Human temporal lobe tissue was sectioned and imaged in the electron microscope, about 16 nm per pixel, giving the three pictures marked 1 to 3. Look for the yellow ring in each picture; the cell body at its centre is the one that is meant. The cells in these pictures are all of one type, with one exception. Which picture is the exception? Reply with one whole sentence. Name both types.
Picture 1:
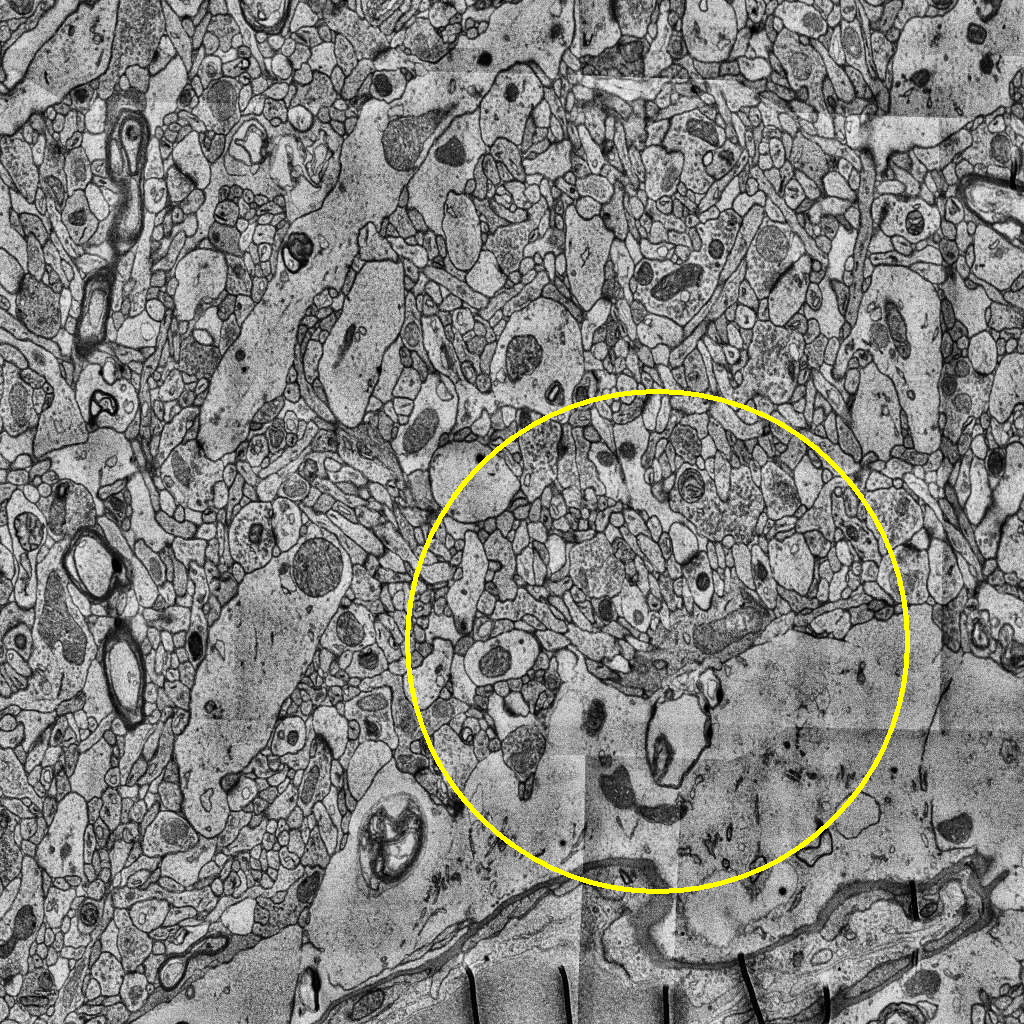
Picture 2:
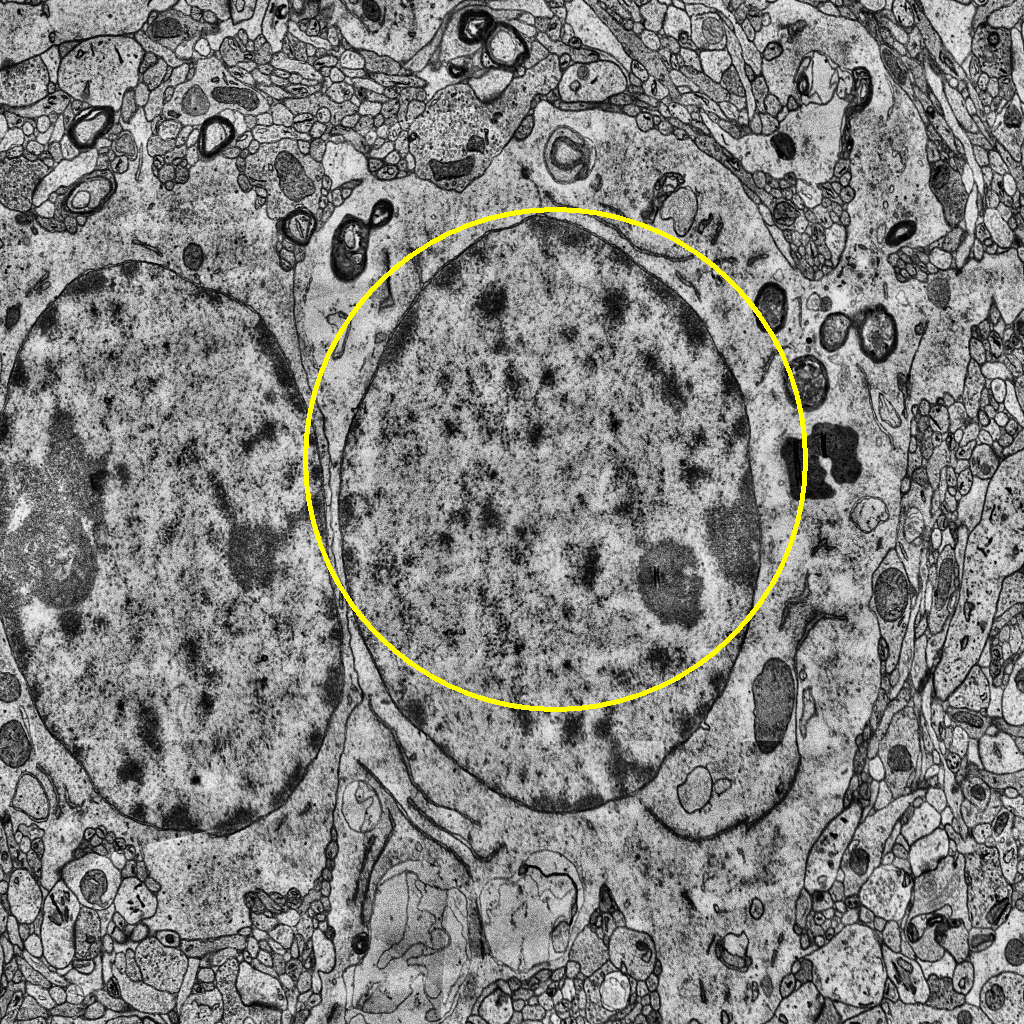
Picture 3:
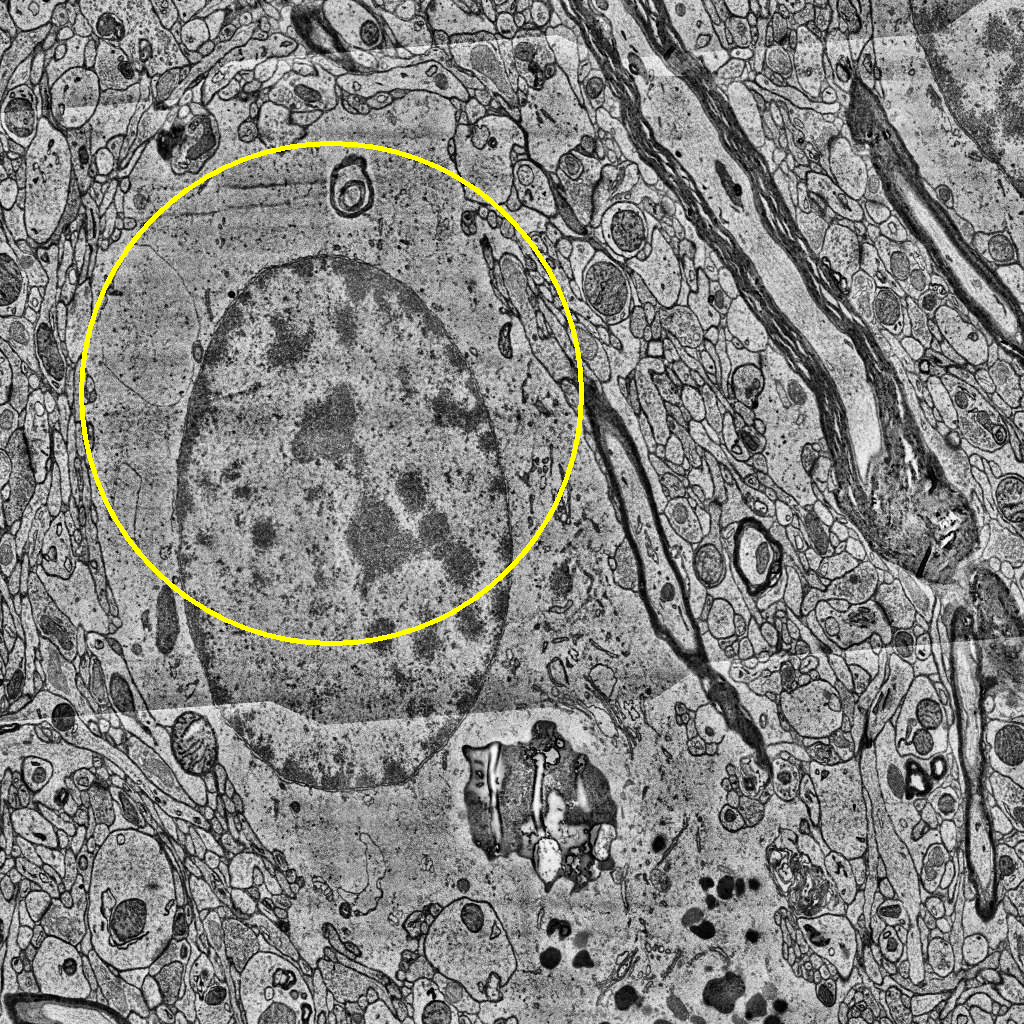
Picture 1 is the odd one out: it shows an oligodendrocyte, while the others show astrocytes.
